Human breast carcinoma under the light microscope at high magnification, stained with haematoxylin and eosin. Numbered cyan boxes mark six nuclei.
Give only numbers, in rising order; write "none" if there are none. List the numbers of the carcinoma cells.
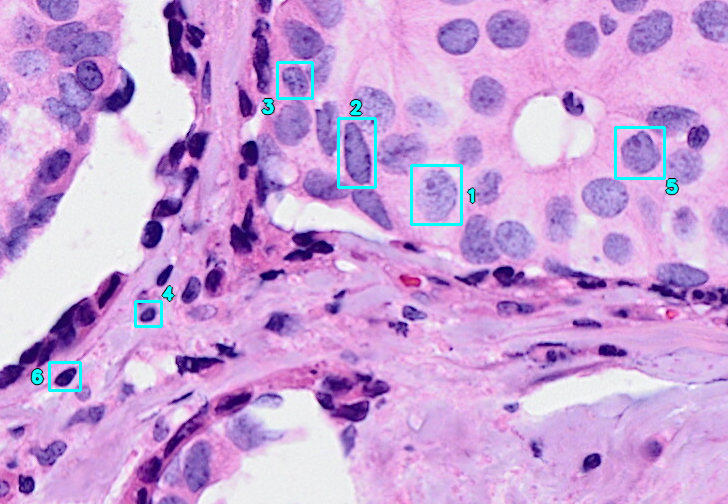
1, 2, 3, 5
